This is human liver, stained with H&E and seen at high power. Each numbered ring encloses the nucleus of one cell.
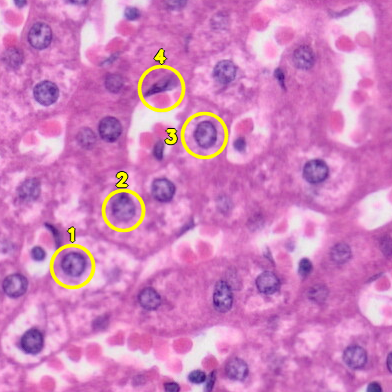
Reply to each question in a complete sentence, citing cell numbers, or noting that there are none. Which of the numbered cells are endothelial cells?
Only the cell with number 4 is an endothelial cell.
